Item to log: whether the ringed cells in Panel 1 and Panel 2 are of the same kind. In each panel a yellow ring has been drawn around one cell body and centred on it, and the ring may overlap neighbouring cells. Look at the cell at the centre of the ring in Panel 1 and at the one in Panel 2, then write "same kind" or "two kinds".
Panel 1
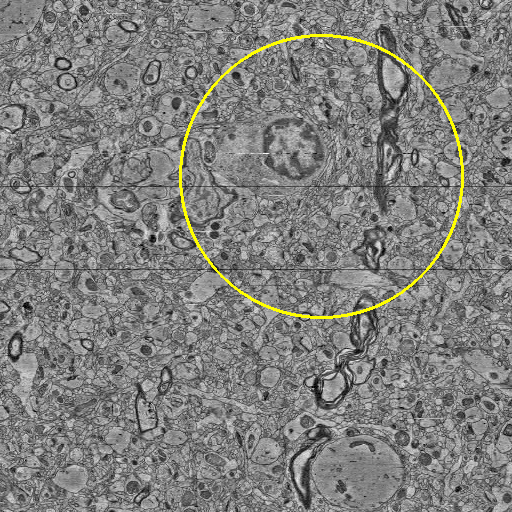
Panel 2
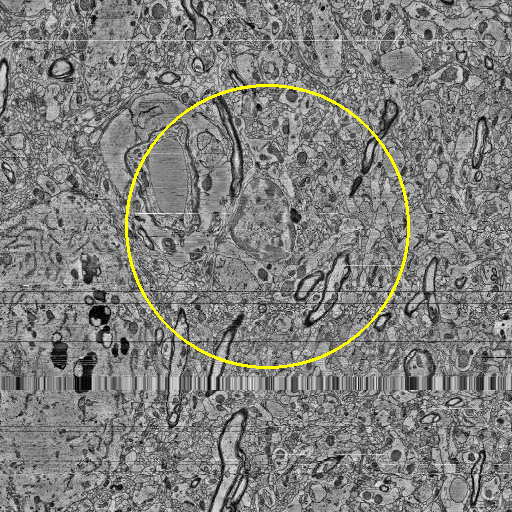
two kinds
